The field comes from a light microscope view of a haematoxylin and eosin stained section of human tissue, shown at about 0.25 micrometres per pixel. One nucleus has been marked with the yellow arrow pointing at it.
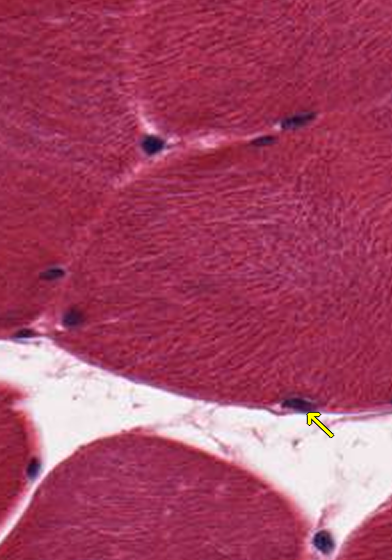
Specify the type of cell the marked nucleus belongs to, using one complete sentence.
The marked nucleus is part of a skeletal muscle fibre.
